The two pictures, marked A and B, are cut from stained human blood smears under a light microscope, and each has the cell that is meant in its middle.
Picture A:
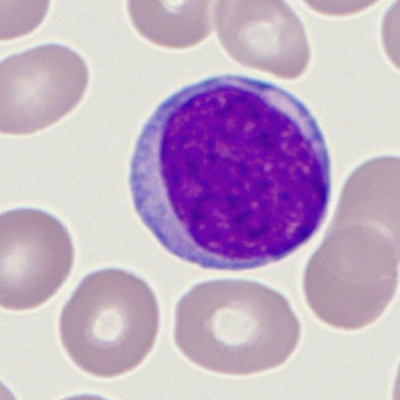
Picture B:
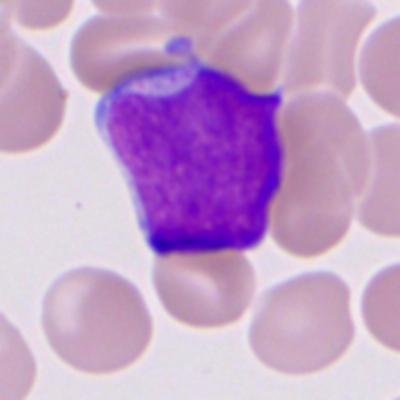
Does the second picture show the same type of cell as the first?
yes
